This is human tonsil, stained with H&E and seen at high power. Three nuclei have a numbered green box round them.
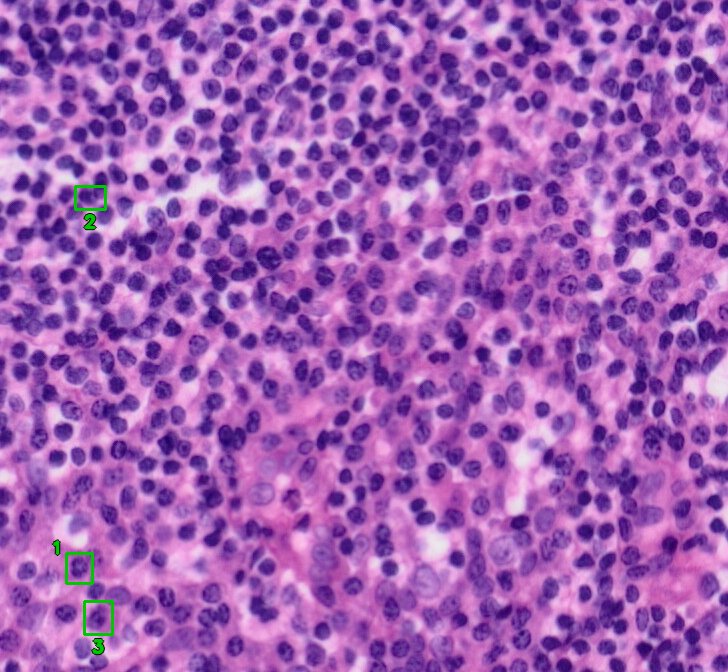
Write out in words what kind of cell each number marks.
Cell 1 is a plasma cell, cell 2 is a small lymphocyte and cell 3 is a plasma cell.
